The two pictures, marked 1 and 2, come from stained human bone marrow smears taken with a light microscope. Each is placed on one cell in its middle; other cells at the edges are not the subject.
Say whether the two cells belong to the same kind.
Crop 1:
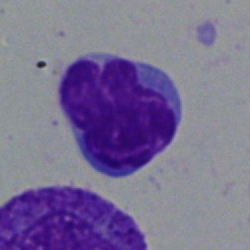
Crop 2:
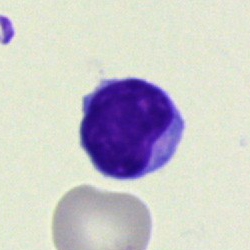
yes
